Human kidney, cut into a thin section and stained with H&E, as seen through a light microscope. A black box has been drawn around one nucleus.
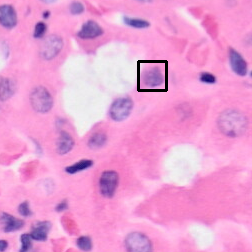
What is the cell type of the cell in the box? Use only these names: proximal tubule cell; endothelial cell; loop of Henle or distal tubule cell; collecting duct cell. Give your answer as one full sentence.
In cellular terms, the cell in the box is a loop of Henle or distal tubule cell.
